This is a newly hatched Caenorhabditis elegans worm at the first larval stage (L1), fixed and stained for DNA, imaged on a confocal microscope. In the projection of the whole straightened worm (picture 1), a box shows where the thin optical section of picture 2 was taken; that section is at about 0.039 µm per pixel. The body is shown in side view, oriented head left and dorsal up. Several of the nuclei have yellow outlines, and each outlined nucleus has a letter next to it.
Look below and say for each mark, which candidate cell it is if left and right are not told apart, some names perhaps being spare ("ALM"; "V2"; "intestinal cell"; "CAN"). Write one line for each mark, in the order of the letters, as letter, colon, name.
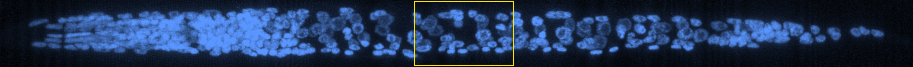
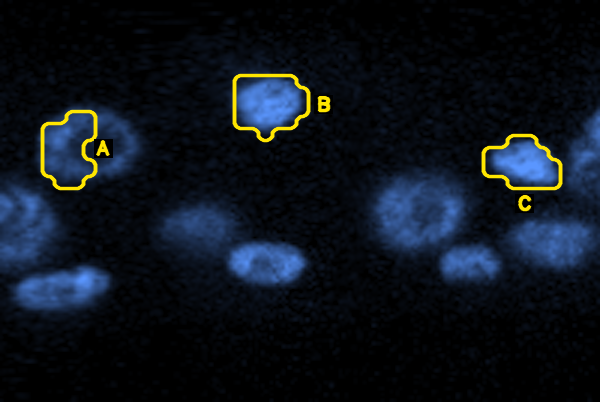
A: intestinal cell
B: ALM
C: CAN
